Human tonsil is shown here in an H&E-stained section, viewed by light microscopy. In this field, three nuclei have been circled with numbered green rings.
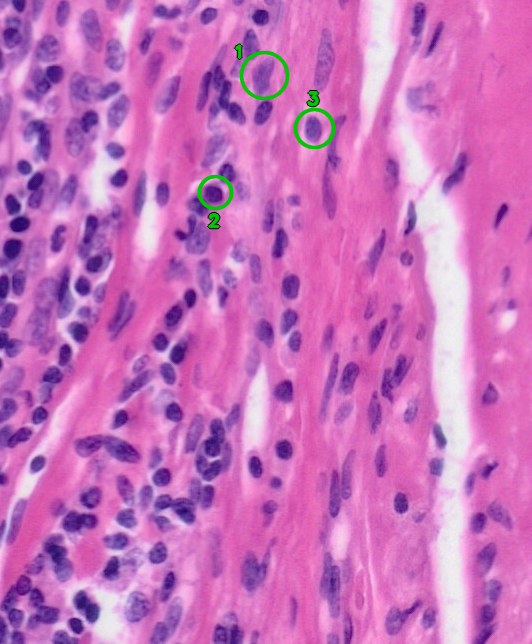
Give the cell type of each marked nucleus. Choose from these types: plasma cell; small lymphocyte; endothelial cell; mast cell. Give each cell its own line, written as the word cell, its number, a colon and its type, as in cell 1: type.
cell 1: endothelial cell
cell 2: plasma cell
cell 3: mast cell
